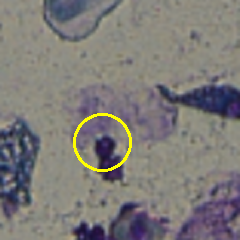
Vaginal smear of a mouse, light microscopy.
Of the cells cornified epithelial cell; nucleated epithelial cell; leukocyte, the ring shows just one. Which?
The ring shows a leukocyte.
